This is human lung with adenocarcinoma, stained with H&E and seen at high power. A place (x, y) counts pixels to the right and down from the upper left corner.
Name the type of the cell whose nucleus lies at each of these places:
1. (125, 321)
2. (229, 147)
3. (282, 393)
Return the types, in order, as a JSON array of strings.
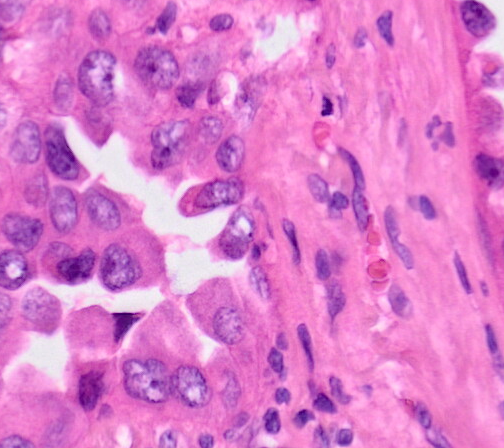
["carcinoma cell", "carcinoma cell", "lymphocyte"]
